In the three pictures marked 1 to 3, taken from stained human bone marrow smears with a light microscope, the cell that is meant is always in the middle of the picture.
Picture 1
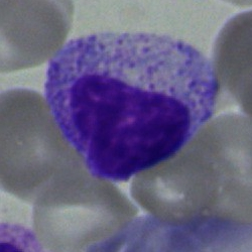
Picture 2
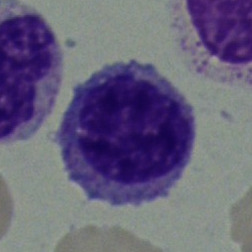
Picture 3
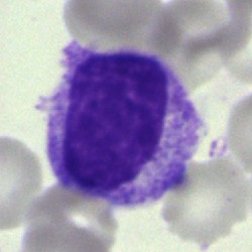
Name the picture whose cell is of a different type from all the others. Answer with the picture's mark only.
2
